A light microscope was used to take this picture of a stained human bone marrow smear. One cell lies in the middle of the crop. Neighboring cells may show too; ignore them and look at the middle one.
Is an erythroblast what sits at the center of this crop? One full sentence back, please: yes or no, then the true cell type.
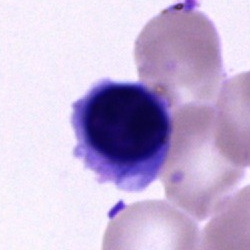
Yes, the cell at the middle is an erythroblast.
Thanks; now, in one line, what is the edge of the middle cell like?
Irregular rather than smooth, the cell margin shows ragged areas or projections.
